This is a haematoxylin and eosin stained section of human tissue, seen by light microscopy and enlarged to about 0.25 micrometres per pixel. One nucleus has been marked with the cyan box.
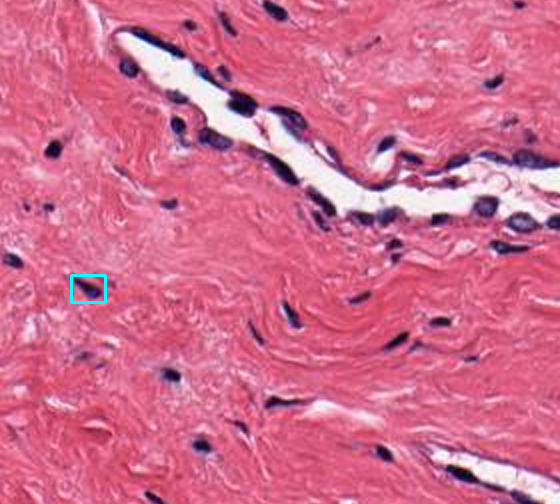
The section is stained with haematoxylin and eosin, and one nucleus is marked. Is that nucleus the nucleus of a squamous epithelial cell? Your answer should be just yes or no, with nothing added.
no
